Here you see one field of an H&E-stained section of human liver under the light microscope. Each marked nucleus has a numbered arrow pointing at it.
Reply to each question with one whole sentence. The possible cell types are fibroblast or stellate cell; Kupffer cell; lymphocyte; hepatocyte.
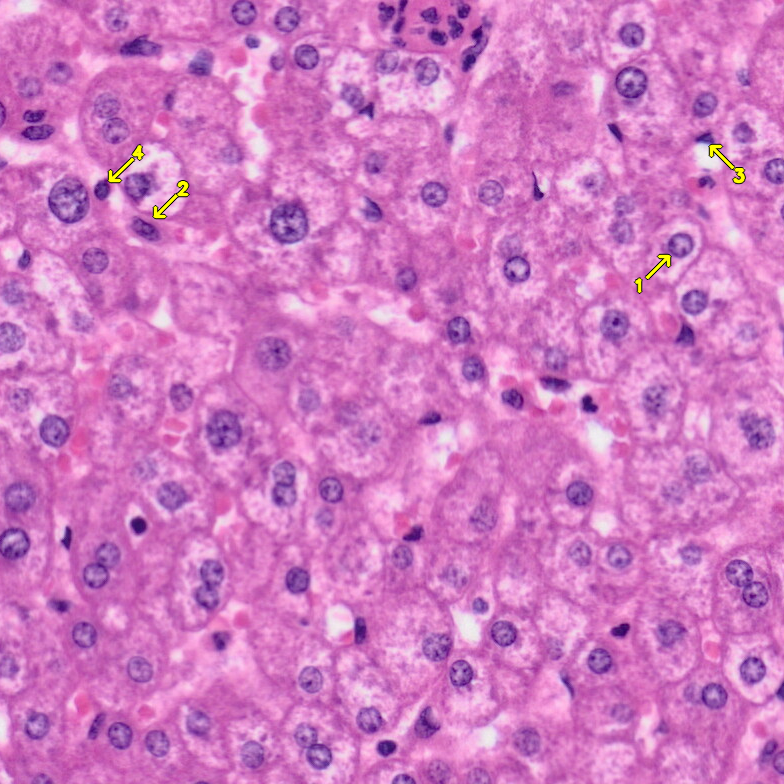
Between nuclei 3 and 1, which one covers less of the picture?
With nucleus 1 about 2.5 times its size, nucleus 3 is the smaller of the two.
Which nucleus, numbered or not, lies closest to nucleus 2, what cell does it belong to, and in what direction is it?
A hepatocyte lies closest, above nucleus 2.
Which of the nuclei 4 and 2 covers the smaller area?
Nucleus 4 covers less area, with nucleus 2 about 1.5 times as large.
